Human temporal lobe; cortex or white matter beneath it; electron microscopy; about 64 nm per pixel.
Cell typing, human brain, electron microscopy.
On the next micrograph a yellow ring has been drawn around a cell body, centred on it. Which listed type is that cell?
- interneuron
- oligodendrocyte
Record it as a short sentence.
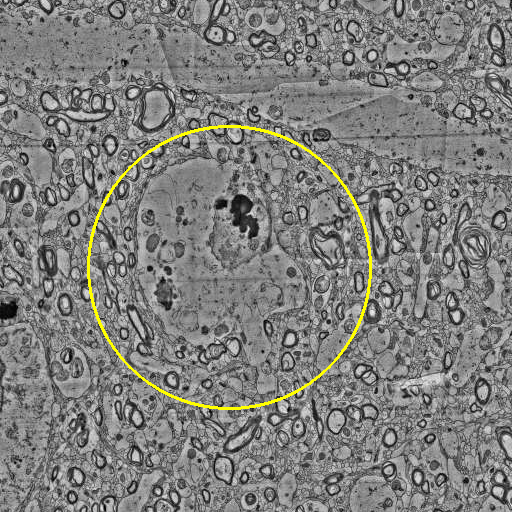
The cell body in the ring's centre belongs to an oligodendrocyte.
